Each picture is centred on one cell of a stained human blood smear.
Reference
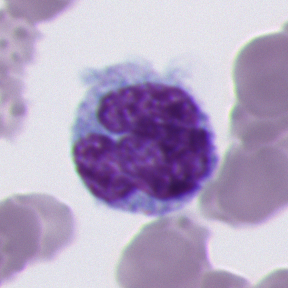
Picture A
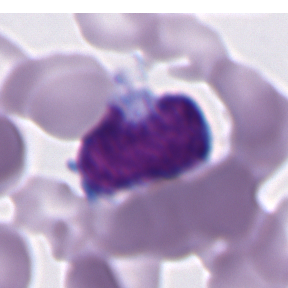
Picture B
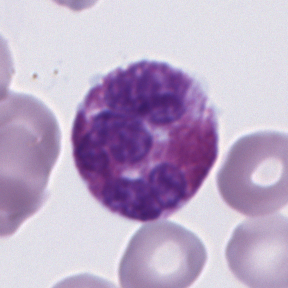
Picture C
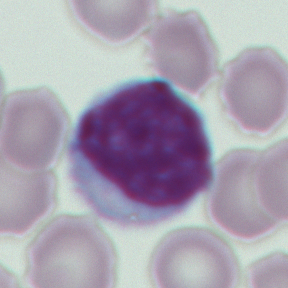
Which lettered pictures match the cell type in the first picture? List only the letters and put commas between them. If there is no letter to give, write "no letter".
no letter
